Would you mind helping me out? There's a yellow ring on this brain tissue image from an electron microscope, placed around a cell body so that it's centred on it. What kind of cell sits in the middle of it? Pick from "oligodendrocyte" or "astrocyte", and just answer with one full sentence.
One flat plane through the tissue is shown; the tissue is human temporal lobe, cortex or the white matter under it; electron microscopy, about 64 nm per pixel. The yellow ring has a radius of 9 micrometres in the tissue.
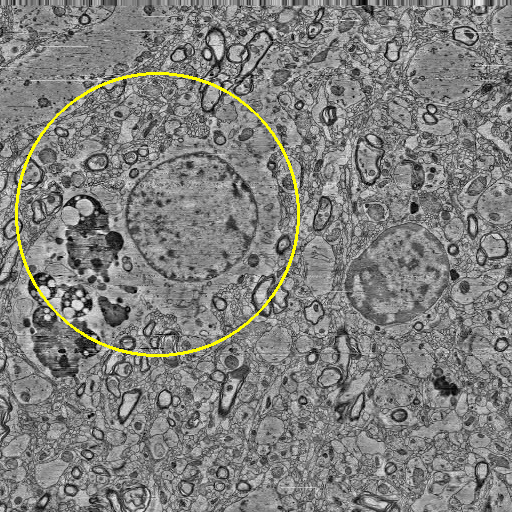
What sits in the middle of that yellow ring is an astrocyte, from your choices.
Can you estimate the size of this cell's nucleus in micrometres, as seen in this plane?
About 8 micrometres across, as seen in this plane.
